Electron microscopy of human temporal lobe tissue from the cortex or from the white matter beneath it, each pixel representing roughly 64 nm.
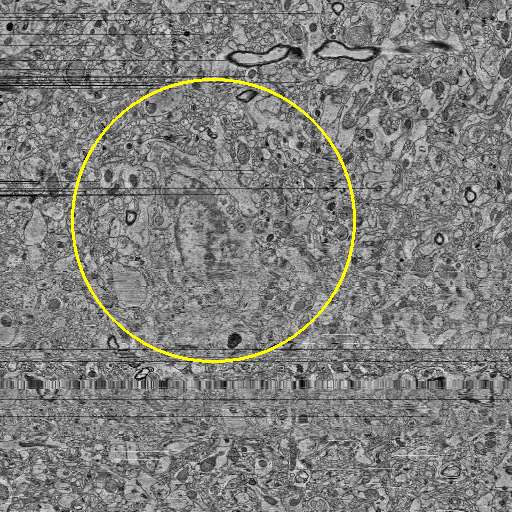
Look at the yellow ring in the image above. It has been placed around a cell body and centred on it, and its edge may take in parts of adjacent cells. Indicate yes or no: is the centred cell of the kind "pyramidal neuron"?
no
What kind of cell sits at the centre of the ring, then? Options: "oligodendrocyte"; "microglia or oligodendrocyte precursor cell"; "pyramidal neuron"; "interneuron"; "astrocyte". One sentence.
Instead, the picture shows an interneuron at the centre of the ring.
